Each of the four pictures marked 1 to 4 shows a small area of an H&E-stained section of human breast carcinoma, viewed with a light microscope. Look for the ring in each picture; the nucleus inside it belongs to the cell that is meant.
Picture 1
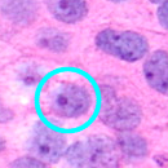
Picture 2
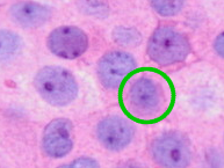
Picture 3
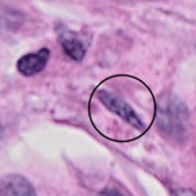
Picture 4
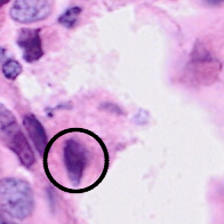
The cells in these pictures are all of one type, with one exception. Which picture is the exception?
3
